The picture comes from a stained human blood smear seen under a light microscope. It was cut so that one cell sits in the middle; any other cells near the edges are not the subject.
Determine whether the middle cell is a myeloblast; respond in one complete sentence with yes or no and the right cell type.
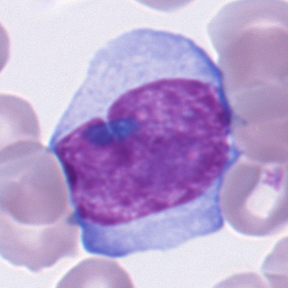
Yes, this is a myeloblast, the cell in the middle of the crop.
